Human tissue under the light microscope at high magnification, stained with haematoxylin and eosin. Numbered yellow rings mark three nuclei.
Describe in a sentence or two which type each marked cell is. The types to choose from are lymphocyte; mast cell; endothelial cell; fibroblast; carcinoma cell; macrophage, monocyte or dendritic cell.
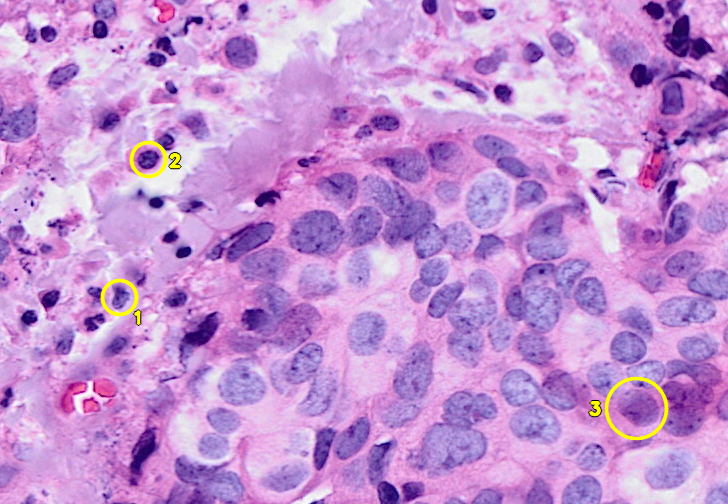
Cell 1 is a lymphocyte, cell 2 is a mast cell and cell 3 is a carcinoma cell.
